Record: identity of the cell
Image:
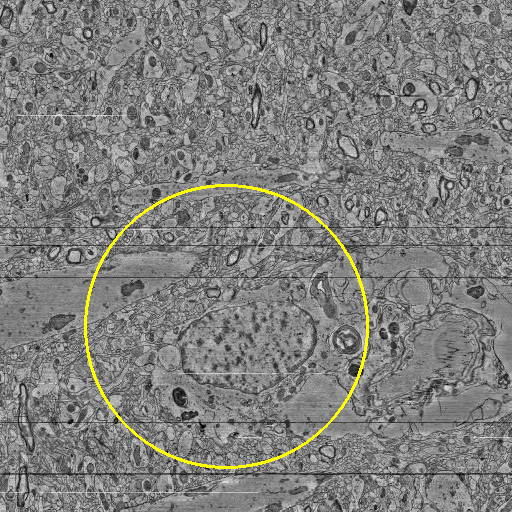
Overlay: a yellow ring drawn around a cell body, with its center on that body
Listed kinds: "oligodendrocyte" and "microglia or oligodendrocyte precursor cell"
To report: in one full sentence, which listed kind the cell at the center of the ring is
In the image, the cell body at the ring's center belongs to a microglial cell or oligodendrocyte precursor cell.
